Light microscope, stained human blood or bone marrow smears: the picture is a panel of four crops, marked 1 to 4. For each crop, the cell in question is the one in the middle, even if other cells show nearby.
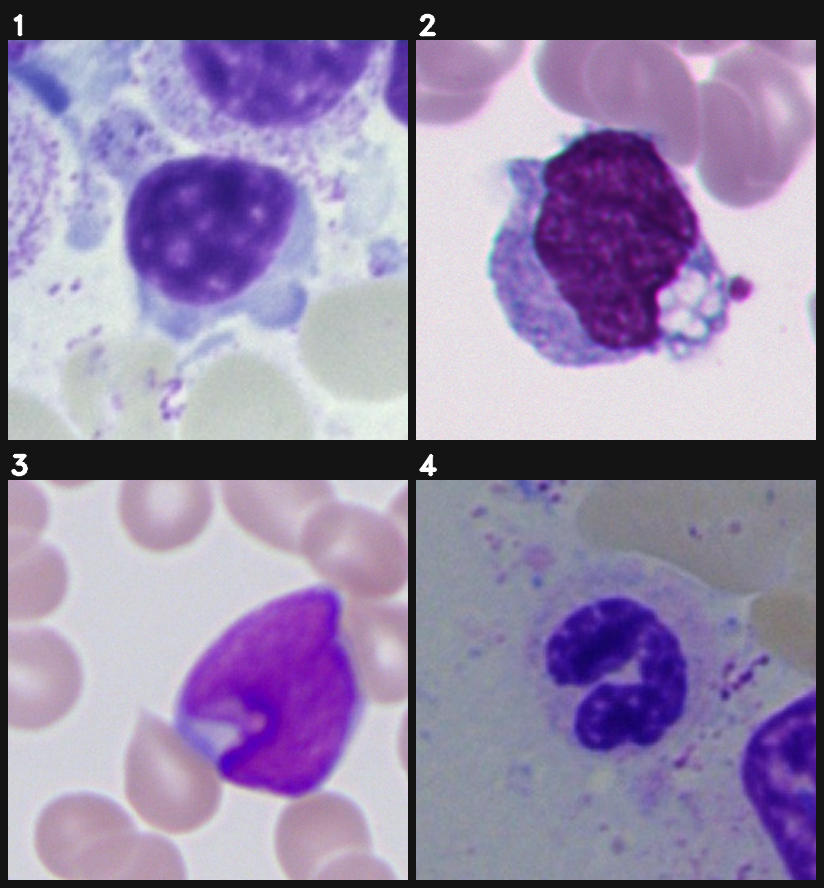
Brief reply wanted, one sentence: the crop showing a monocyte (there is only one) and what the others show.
So crop 2 shows a monocyte, while crop 1 is a lymphocyte, crop 3 is a blast and crop 4 is a segmented neutrophil.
